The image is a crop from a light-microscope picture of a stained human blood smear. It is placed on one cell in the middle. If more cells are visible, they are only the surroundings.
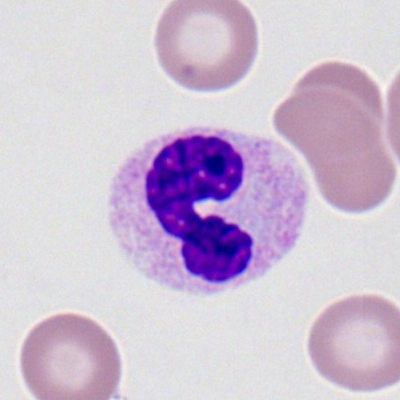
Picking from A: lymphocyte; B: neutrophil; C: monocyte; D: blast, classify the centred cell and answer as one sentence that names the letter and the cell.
What sits in the middle of the crop is a neutrophil, and option B is correct.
